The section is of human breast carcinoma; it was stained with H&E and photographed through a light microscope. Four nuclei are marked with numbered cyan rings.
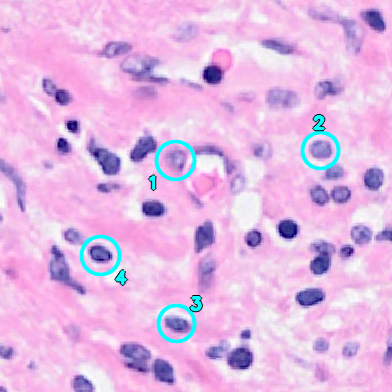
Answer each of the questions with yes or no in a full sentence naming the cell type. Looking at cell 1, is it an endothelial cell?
Yes, the marked cell numbered 1 is an endothelial cell.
